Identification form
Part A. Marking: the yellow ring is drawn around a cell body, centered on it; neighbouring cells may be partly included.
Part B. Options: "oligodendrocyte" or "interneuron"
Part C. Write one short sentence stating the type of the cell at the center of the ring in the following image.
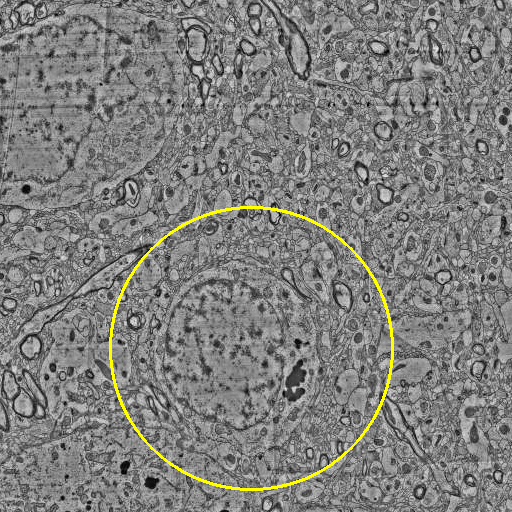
The center of the ring holds an interneuron.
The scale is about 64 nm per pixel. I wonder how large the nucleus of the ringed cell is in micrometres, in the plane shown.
The nucleus of the ringed cell is approximately 10 by 8 micrometres in this plane.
